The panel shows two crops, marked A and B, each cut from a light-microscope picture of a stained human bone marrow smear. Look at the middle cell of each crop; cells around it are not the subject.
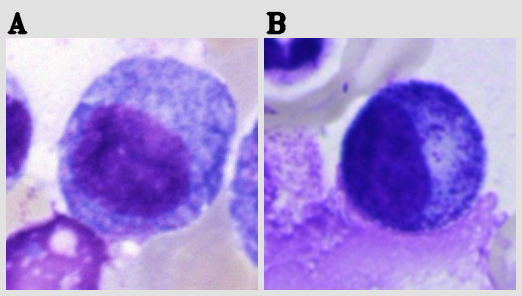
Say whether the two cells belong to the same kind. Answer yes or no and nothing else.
yes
